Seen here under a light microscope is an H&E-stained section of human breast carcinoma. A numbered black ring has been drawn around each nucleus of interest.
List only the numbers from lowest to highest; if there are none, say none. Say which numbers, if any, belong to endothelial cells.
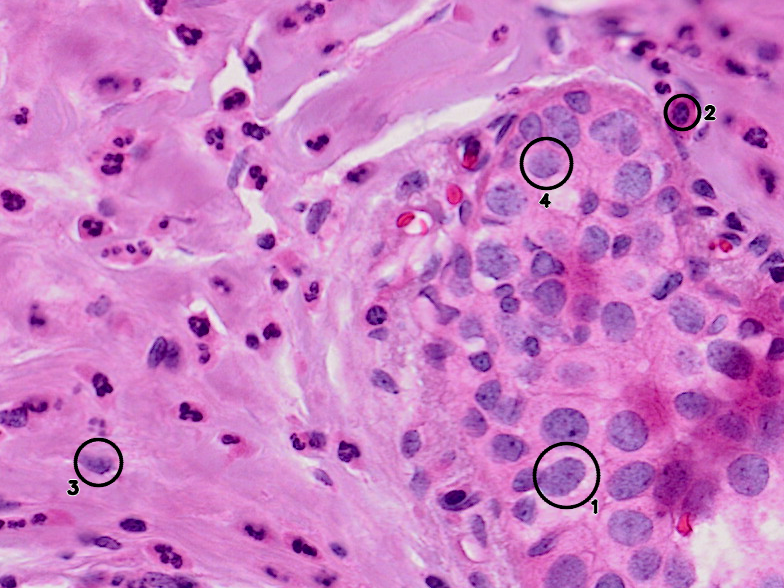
none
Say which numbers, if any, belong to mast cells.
2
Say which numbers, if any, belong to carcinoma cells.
1, 4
